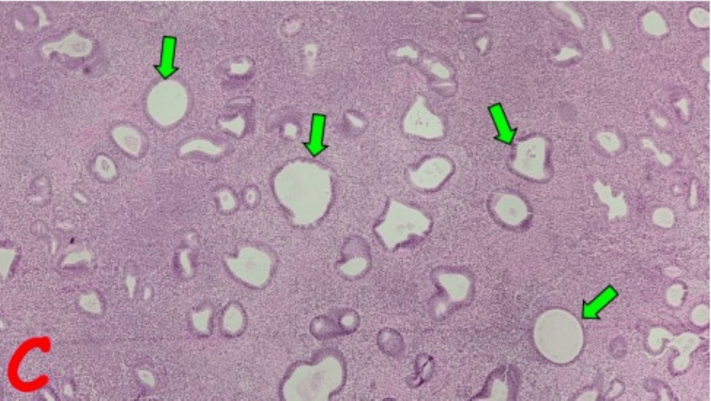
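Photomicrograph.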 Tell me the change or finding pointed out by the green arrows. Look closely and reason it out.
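Cystically dilated glands. Round glands with wide empty lumens. Glands of varying size scattered densely through the stroma.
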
